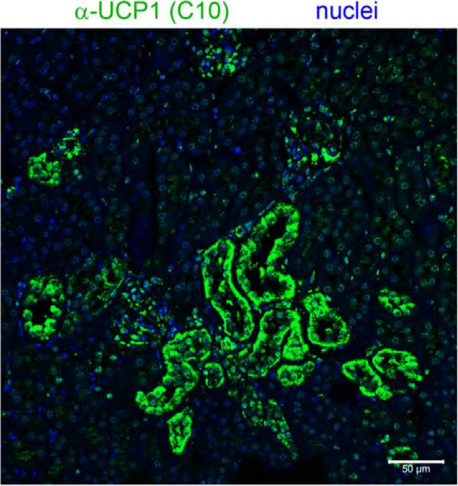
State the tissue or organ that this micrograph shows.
Kidney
